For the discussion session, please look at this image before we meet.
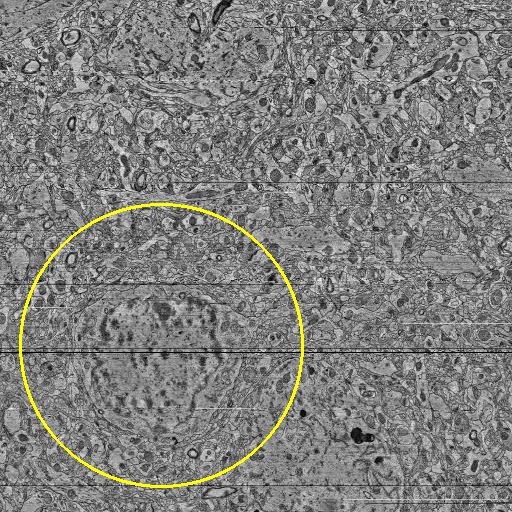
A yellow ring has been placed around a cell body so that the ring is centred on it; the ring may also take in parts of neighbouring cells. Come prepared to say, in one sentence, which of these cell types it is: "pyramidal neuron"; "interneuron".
The cell centred in the ring is an interneuron.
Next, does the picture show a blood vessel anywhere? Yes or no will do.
No, no blood vessel can be seen.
